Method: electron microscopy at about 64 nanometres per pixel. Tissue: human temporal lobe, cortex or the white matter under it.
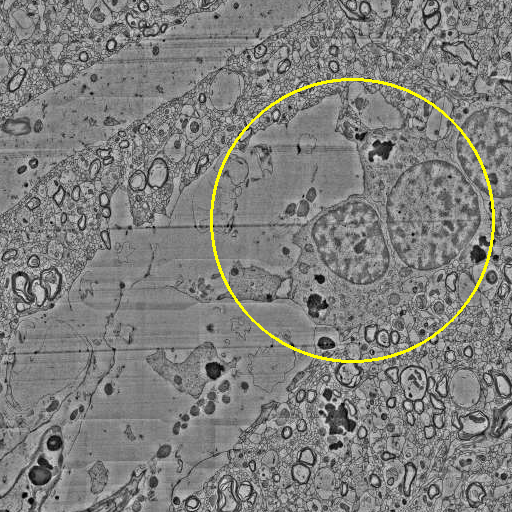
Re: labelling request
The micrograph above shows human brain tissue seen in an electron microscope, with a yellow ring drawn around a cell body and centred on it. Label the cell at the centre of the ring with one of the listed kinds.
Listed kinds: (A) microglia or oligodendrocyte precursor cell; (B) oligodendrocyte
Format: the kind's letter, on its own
B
